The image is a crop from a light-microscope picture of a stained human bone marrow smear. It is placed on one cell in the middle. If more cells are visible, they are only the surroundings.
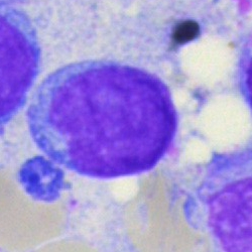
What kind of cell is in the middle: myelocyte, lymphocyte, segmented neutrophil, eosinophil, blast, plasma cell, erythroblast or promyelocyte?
blast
